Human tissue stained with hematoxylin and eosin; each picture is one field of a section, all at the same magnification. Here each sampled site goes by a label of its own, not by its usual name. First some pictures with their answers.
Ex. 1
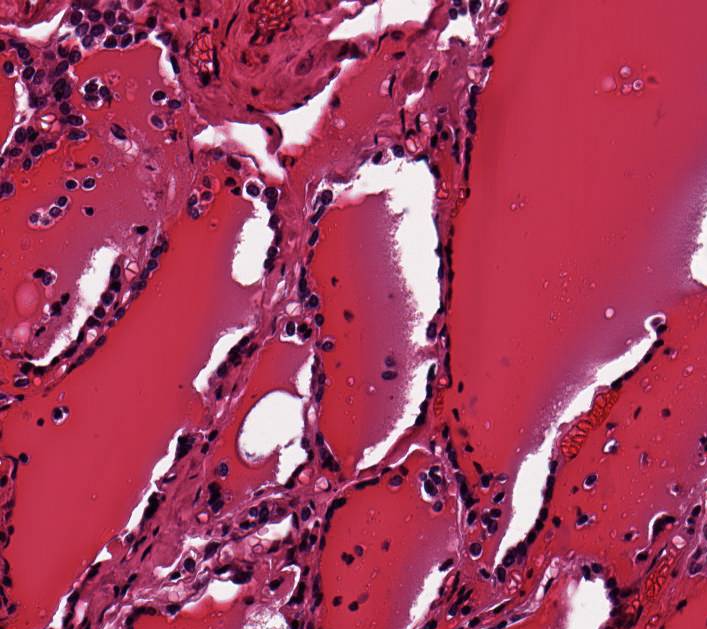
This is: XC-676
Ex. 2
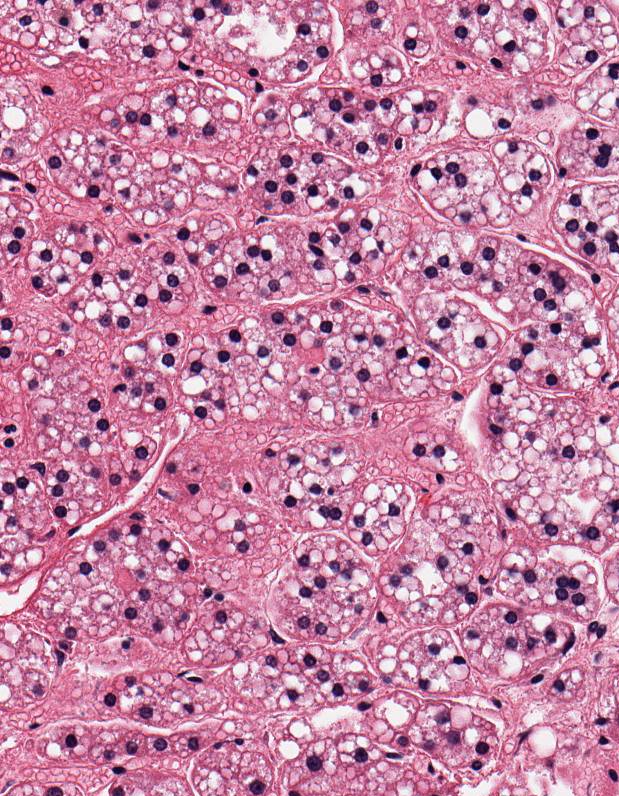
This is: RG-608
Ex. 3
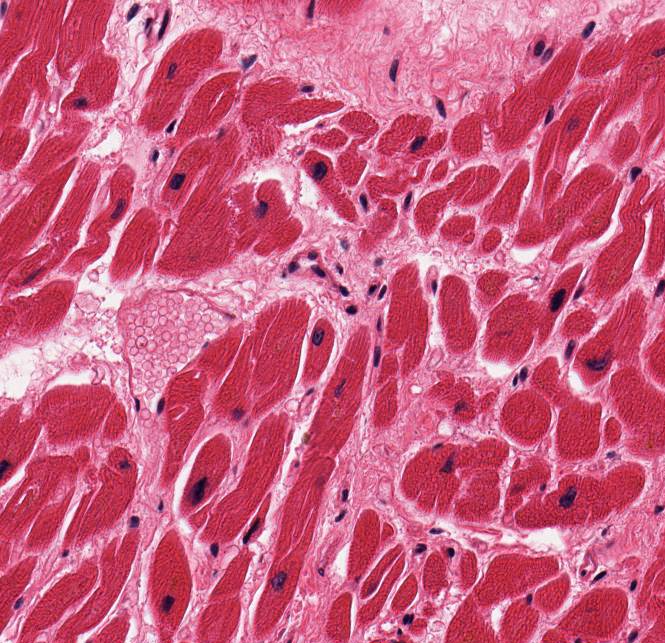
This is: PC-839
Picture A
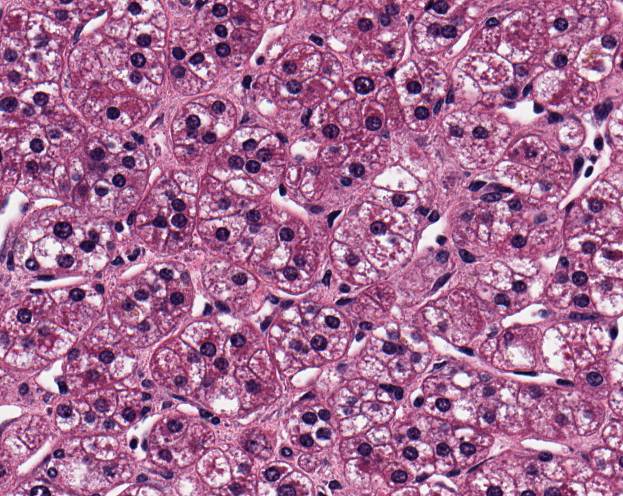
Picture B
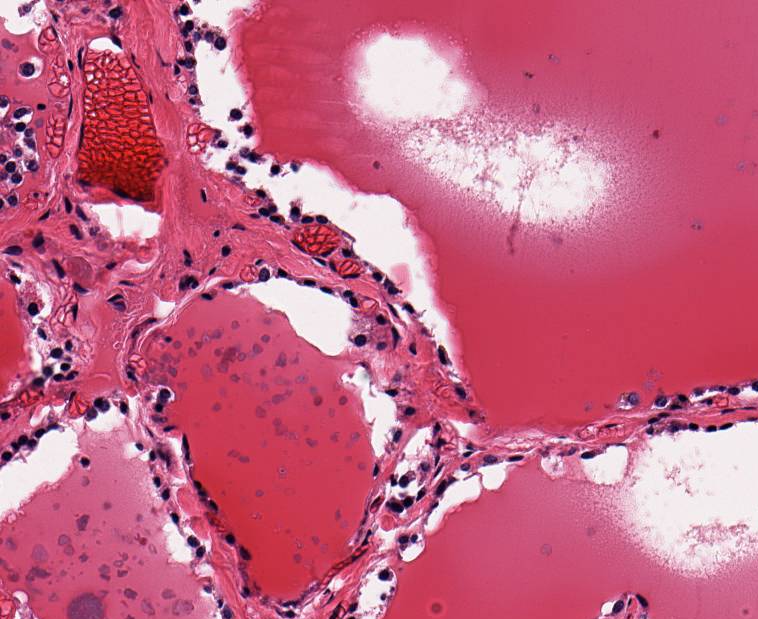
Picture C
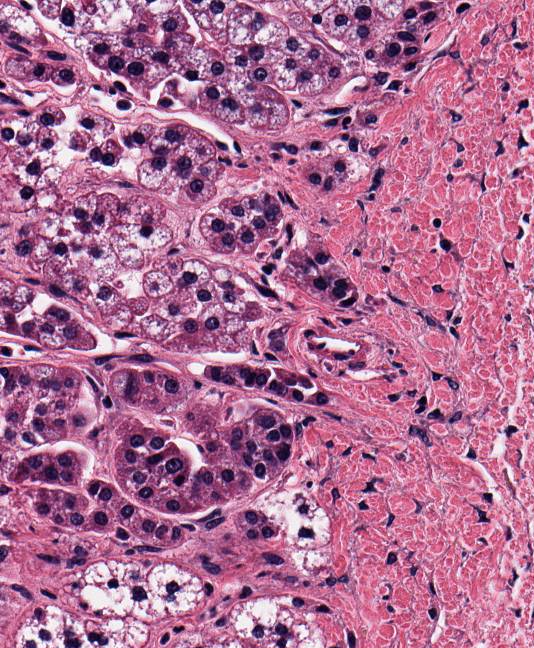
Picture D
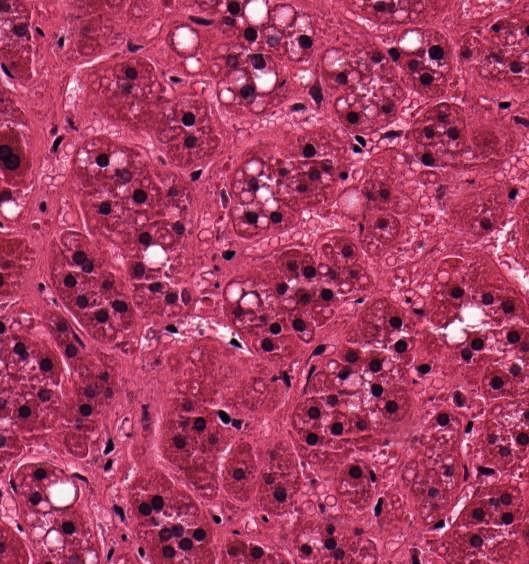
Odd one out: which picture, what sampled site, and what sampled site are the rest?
B: XC-676; all the others: RG-608.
